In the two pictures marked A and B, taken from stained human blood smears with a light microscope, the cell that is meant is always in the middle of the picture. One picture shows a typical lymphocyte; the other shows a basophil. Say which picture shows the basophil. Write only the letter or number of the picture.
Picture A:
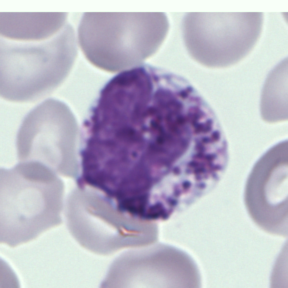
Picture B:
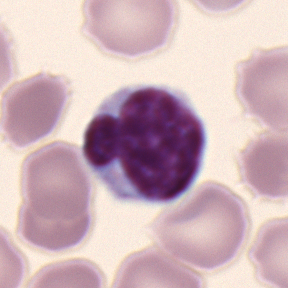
A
